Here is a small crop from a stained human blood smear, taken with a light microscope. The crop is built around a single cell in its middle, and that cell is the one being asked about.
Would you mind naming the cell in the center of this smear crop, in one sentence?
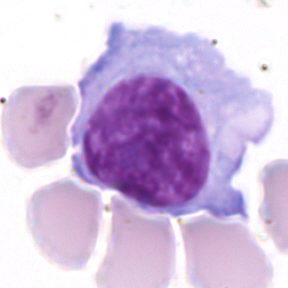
By classification, the middle cell of this crop is a plasma cell.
